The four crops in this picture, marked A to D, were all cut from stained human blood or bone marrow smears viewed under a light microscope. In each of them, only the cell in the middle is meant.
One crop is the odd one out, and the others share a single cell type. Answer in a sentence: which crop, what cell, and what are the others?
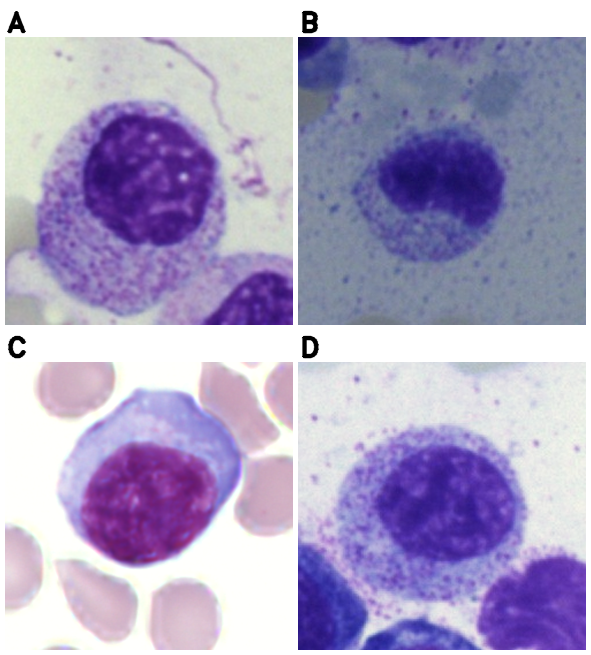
In crop C the central cell is a plasma cell, whereas the other crops all contain myelocytes.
